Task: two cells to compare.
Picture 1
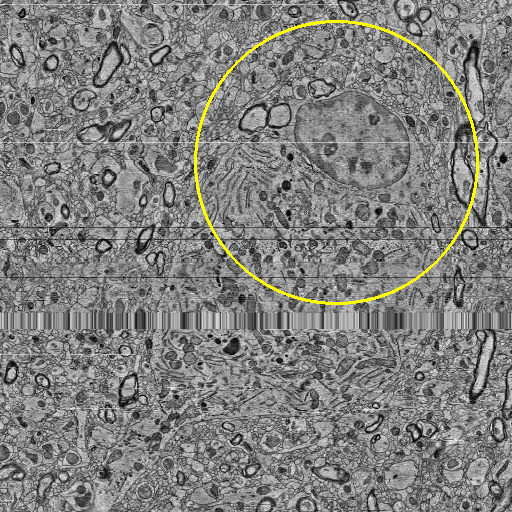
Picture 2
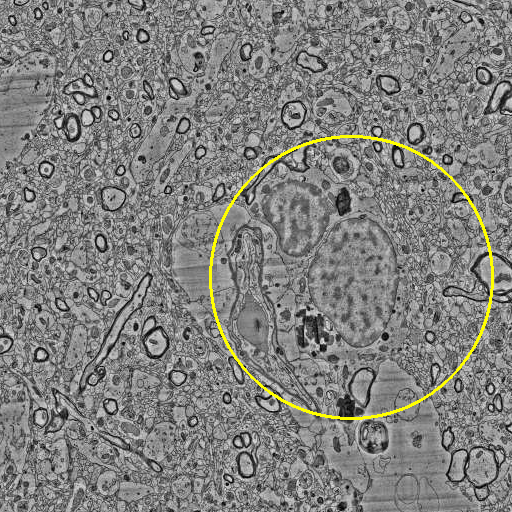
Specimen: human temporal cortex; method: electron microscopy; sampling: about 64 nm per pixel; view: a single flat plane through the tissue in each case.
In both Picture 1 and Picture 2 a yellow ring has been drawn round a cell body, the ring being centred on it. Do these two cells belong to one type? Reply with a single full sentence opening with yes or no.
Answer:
Yes, the two cells at the ring centres in Picture 1 and Picture 2 share one type.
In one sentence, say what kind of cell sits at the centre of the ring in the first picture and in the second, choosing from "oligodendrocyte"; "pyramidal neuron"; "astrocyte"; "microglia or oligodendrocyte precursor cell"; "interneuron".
Each of the two rings surrounds an oligodendrocyte.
